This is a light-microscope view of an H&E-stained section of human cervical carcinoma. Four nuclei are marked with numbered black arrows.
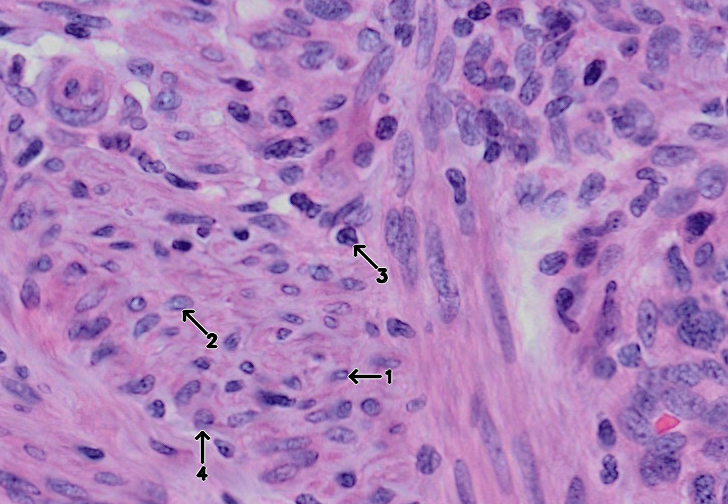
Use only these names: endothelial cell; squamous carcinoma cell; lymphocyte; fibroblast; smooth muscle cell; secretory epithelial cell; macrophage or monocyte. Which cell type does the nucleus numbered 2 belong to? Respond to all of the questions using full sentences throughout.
The numbered cell 2 is identified here as a smooth muscle cell.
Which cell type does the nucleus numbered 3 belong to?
The nucleus labelled 3 belongs to a lymphocyte.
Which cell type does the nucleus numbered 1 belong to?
The cell referenced by the number 1 is a smooth muscle cell in this field.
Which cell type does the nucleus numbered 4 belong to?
Here the cell numbered 4 is a smooth muscle cell.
